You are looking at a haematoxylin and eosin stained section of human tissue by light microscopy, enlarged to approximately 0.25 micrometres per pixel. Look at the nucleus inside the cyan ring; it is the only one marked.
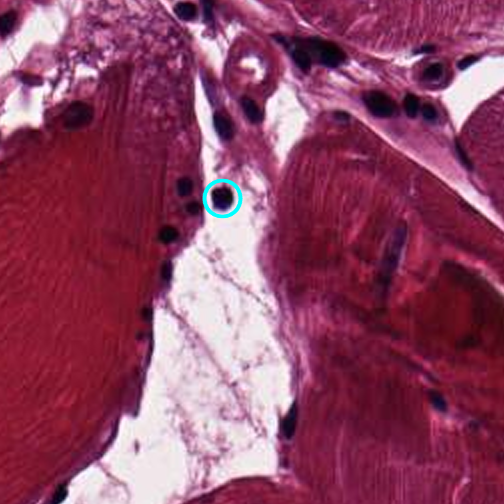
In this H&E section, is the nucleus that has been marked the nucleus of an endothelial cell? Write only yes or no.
no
